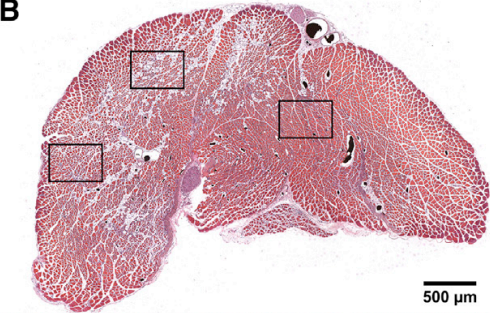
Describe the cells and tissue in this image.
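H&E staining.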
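The fibres are seen as tightly packed red polygons of fairly similar size, separated by thin pale lines of connective tissue. Only in a few patches, such as near the upper middle, do the fibres give way to clusters of clear, empty-looking fat cells and loose connective tissue, the fibro-adipose tissue. Large pale necrotic areas with dense purple infiltrate are hard to find. Vessels with dark contents appear near the top and inside the section.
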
